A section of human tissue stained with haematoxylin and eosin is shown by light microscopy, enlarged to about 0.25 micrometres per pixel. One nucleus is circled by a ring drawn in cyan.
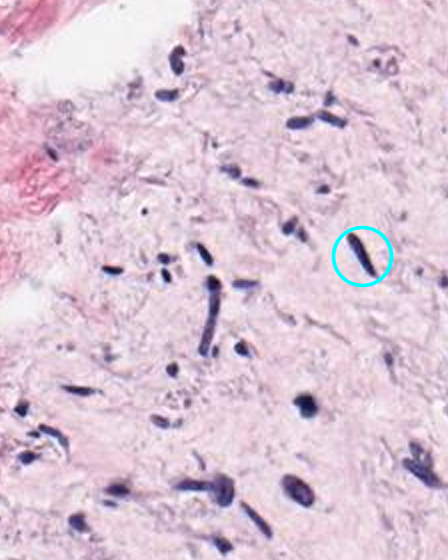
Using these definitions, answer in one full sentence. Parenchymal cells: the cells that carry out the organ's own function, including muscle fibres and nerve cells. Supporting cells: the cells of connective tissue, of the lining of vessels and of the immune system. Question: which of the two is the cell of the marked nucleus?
A supporting cell is the owner of the marked nucleus.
